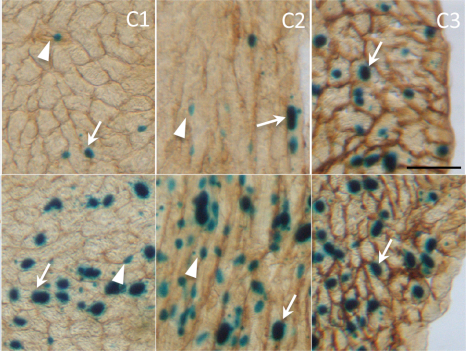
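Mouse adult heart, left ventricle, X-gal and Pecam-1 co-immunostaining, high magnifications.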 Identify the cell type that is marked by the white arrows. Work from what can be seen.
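The arrowed blue nuclei lie inside large polygonal fibre profiles. The surrounding cells are large and outlined by brown rims.
Cardiomyocytes.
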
